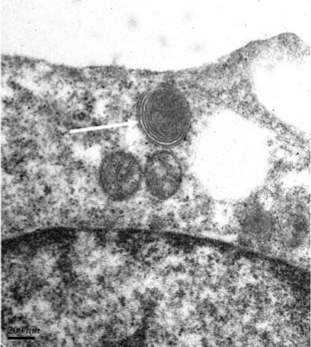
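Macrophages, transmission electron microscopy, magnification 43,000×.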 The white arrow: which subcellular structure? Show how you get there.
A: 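An oval body with concentric layered membranes lies in the cytoplasm. It sits between the cell surface and the nuclear envelope. Two smaller round bodies lie just below it.
Conclusion: intracellular inclusion bodies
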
